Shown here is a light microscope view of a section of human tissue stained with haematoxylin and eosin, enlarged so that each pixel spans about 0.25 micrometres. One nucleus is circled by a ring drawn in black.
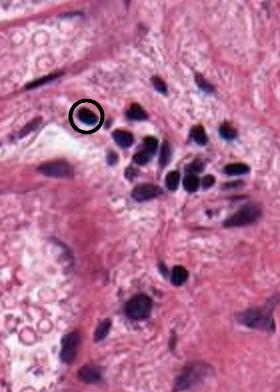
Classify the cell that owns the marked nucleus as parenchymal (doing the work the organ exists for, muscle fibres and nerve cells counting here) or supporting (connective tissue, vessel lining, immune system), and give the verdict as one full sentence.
Held by a supporting cell is the marked nucleus in this section.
